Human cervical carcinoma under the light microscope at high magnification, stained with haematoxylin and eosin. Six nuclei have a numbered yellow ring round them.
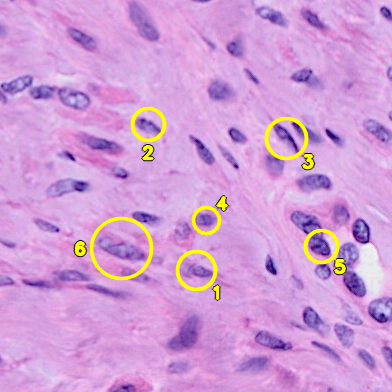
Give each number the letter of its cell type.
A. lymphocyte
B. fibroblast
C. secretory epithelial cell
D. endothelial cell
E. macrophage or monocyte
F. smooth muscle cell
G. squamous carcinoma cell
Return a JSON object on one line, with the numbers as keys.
{"1": "F", "2": "B", "3": "B", "4": "F", "5": "D", "6": "F"}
